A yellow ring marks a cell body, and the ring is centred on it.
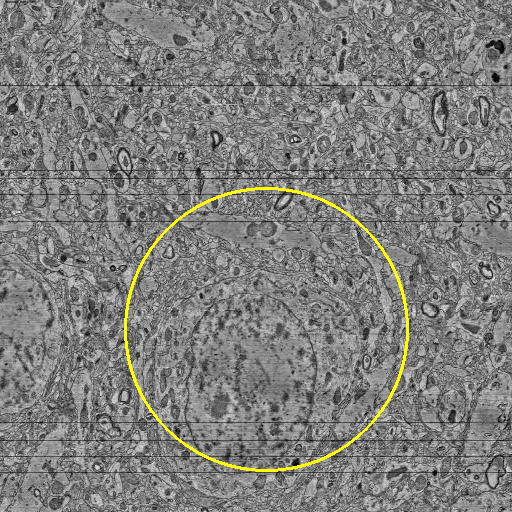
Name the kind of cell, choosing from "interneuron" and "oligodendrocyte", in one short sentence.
The marked cell body belongs to an interneuron.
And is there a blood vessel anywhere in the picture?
No, there is no blood vessel in the image.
